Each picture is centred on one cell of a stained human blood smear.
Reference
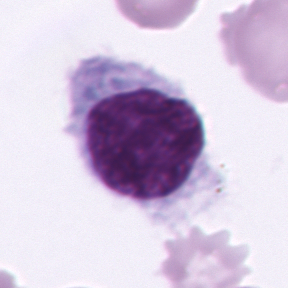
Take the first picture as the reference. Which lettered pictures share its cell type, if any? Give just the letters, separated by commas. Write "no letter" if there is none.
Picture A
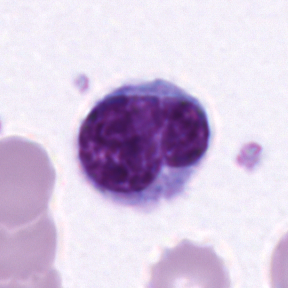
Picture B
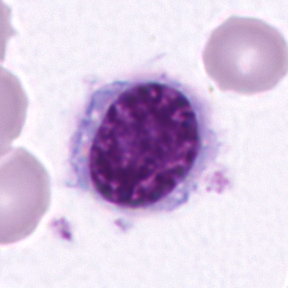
no letter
